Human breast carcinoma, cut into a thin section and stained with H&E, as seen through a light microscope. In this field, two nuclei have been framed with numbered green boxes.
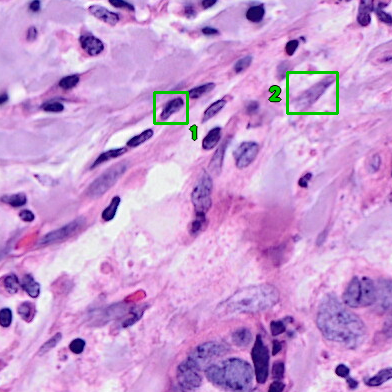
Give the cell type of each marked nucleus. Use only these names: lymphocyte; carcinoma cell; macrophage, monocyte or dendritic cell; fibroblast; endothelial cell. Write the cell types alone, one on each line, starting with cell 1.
lymphocyte
fibroblast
